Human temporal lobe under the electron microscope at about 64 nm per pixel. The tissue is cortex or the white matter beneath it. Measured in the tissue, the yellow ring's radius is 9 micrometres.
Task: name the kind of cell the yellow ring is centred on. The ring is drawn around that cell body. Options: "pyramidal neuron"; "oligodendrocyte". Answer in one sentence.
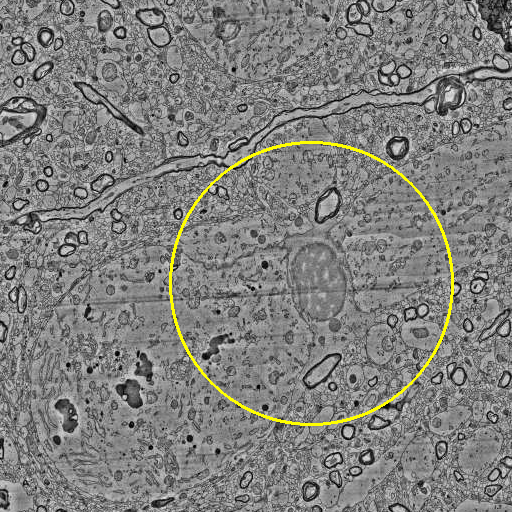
This cell body belongs to an oligodendrocyte.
